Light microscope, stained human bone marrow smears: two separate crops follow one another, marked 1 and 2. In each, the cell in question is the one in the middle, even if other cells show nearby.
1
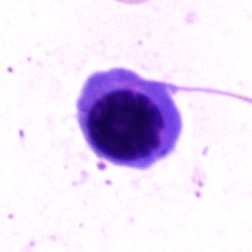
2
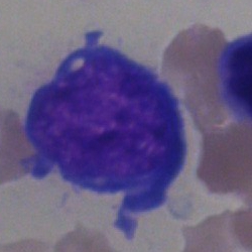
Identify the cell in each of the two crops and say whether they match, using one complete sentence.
No, crop 1 presents an erythroblast; crop 2 presents a blast.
